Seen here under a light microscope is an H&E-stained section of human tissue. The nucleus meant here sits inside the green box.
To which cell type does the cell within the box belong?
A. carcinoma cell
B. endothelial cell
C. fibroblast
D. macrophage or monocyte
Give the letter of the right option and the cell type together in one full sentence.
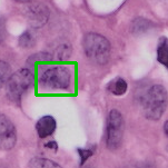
Option A holds, since the cell within the box is a carcinoma cell.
